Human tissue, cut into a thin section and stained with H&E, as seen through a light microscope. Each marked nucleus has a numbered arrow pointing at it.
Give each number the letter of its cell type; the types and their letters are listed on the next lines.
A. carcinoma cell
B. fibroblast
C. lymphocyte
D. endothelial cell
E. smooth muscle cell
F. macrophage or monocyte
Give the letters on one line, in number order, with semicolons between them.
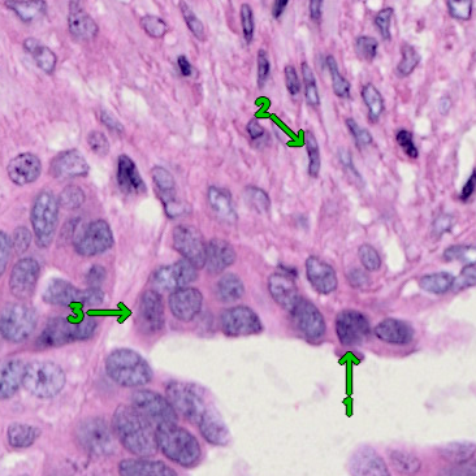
A; B; A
